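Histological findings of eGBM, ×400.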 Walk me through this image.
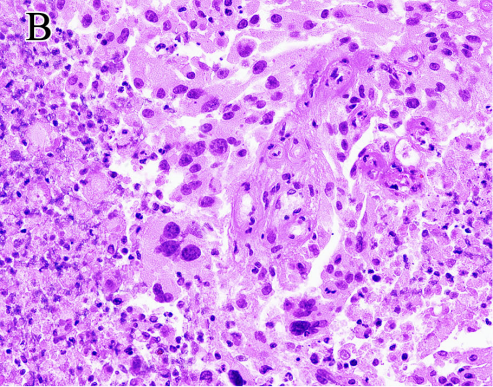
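This tumour tissue is made of epithelioid and rhabdoid cells with abundant, uniformly pink cytoplasm and oval to irregular nuclei set towards one side of the cell. Some cells are large with several or bizarre dark nuclei, and vessel-like structures run among them. On the left the tissue is crowded with small dark nuclei and granular debris.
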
